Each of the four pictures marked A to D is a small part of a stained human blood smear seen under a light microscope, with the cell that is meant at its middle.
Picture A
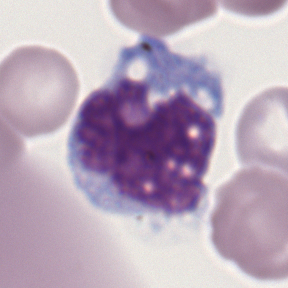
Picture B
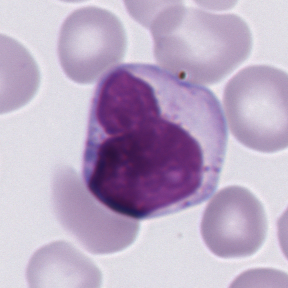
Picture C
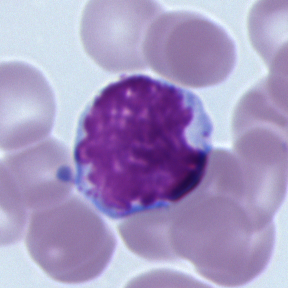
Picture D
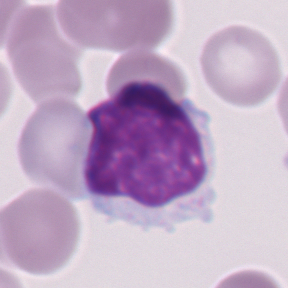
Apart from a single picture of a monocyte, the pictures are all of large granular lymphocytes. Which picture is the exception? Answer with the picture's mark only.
A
